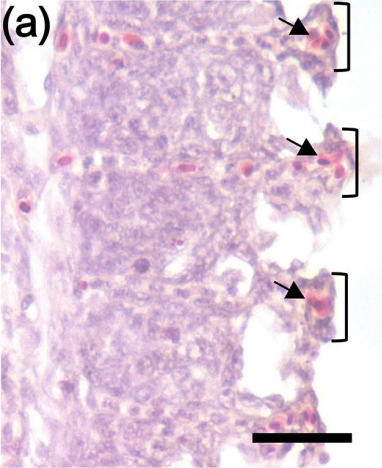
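Gill tissue with thin lamellae projecting at regular intervals from a dense cellular core. The core between lamellae is packed with cells with round purple nuclei.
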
